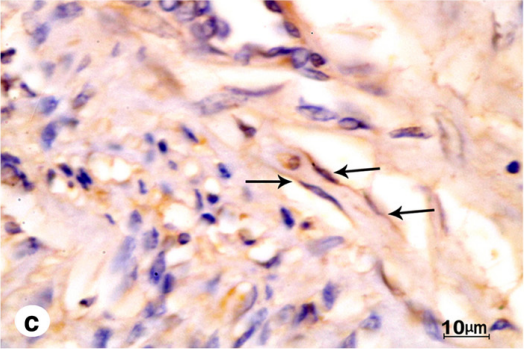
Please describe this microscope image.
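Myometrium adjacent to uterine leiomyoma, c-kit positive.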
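Loosely arranged tissue with clear spaces holds small cells with dark elongated nuclei from which very long, thin brownish processes extend, lying beside the spaces. These are telocytes, their long slender processes being telopodes running out from the cell body close to small vessels.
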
